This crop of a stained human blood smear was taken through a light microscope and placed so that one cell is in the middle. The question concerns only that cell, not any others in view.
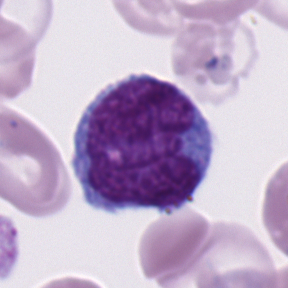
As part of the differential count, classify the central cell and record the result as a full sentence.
The cell at the heart of this crop is a monocyte.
